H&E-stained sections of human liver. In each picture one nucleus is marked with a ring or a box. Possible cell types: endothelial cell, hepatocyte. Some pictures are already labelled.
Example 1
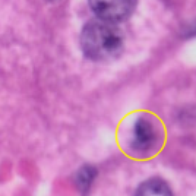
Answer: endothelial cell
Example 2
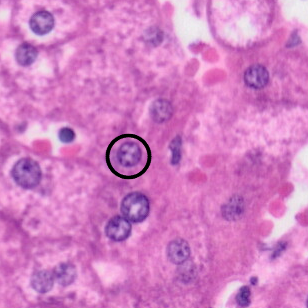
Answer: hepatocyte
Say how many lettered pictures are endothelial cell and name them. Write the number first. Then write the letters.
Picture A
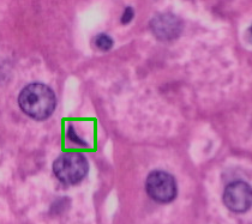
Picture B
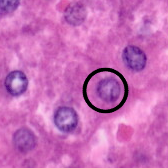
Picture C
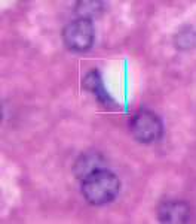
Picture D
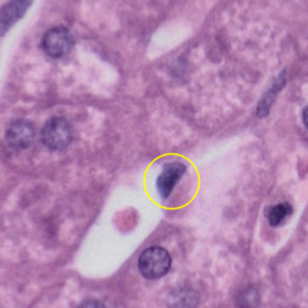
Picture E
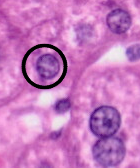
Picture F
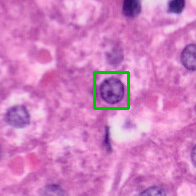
Count: 3 (A, C, D)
